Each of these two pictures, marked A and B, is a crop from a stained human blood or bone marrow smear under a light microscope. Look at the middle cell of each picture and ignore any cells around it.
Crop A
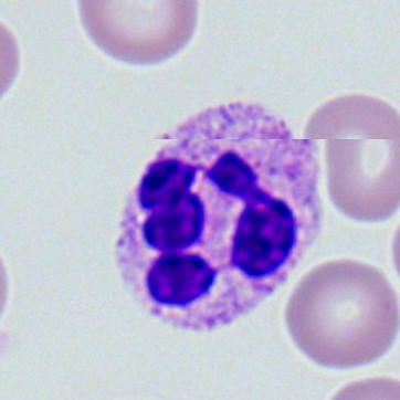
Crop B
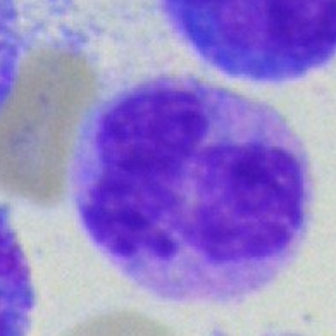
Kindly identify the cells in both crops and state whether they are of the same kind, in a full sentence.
No, crop A is the one with a neutrophil; crop B has a monocyte.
